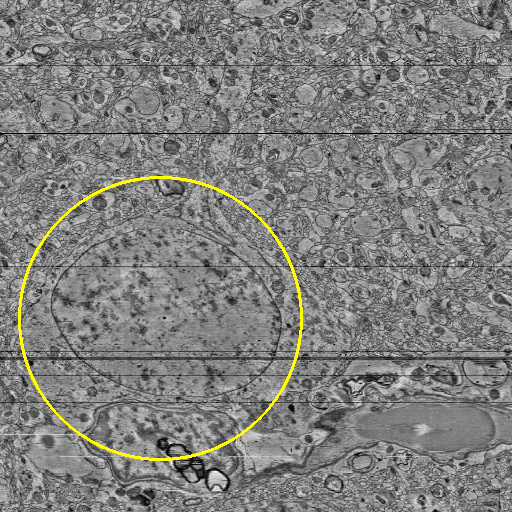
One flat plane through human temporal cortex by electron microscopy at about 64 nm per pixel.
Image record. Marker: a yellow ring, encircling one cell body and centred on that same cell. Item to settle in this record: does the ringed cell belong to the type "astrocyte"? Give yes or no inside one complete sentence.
No, in the picture, the cell centred within the yellow ring is of a different type.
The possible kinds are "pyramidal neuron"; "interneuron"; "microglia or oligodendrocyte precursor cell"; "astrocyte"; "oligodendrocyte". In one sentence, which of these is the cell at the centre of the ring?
What the ring encloses here is a pyramidal neuron.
